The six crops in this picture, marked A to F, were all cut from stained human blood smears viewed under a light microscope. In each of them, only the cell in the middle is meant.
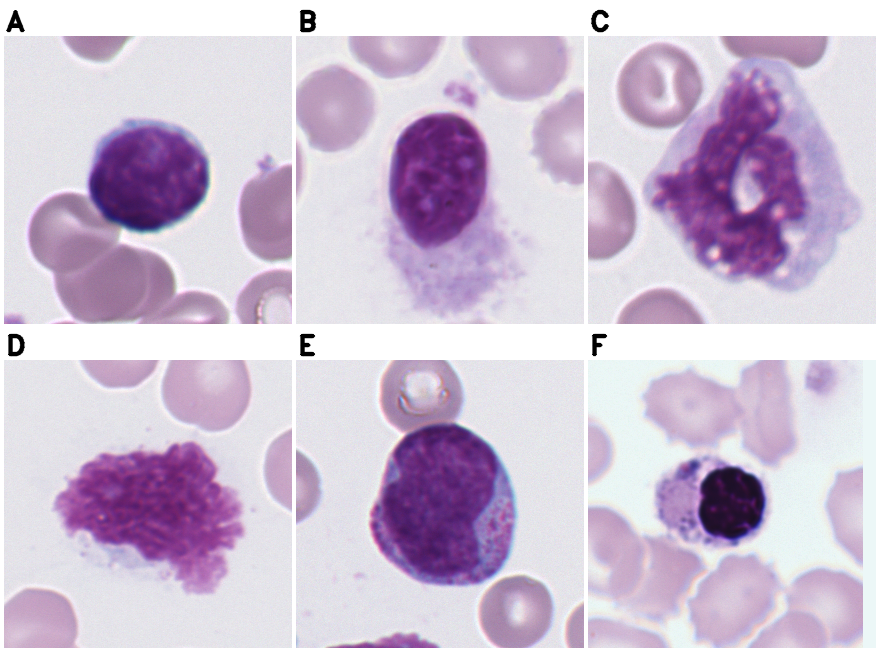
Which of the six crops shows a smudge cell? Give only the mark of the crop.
D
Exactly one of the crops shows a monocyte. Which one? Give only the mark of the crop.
C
